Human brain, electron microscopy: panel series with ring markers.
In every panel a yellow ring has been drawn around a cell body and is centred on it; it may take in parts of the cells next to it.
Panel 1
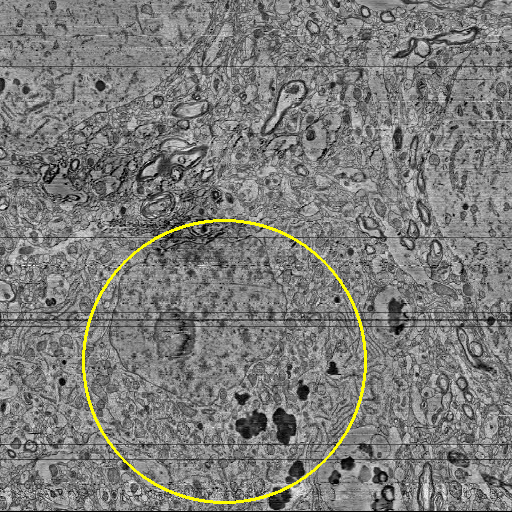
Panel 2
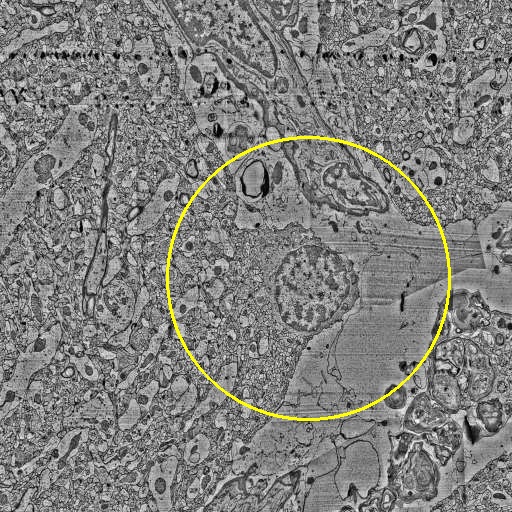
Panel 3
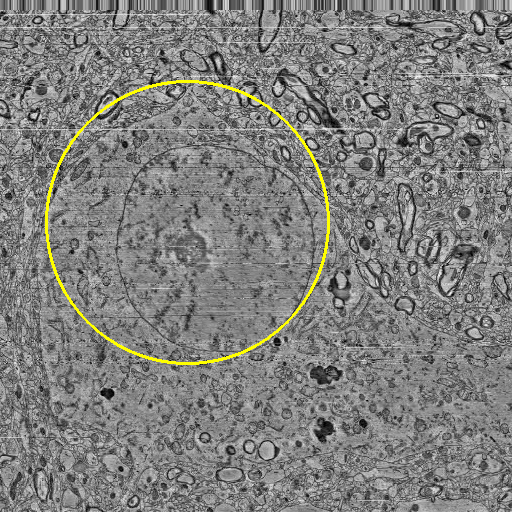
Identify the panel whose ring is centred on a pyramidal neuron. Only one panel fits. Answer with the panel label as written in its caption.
Panel 3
